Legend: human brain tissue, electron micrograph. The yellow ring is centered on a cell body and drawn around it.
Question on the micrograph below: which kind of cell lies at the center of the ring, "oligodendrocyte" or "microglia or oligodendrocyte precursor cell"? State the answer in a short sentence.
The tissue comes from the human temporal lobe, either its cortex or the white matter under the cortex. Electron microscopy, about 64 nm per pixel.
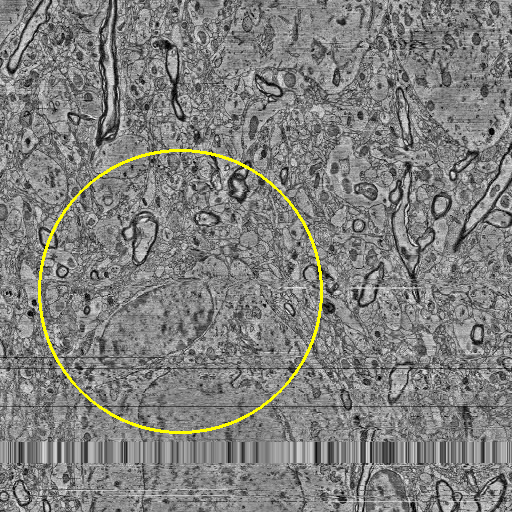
At the center of the ring lies a microglial cell or oligodendrocyte precursor cell.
